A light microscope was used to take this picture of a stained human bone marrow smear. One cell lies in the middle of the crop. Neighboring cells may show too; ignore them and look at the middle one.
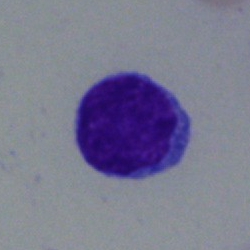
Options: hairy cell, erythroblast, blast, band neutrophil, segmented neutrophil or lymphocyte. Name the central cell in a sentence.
The cell in the middle of this crop is a lymphocyte.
